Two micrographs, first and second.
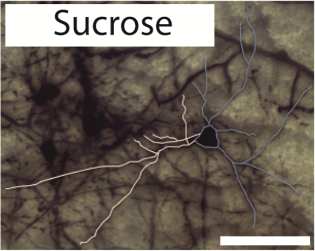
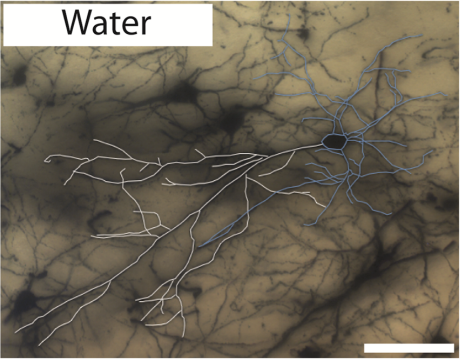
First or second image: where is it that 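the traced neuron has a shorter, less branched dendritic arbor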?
the first image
